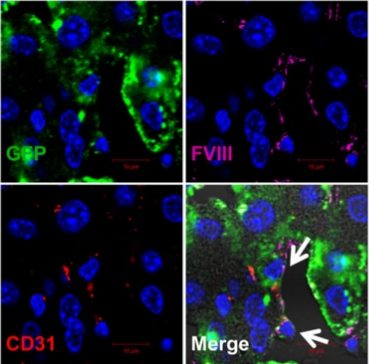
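Fine magenta dots line the border of this space, and scattered small red dots lie near it. In the merged view, cells whose nuclei sit right at the edge of the space carry both the green and the magenta label.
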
